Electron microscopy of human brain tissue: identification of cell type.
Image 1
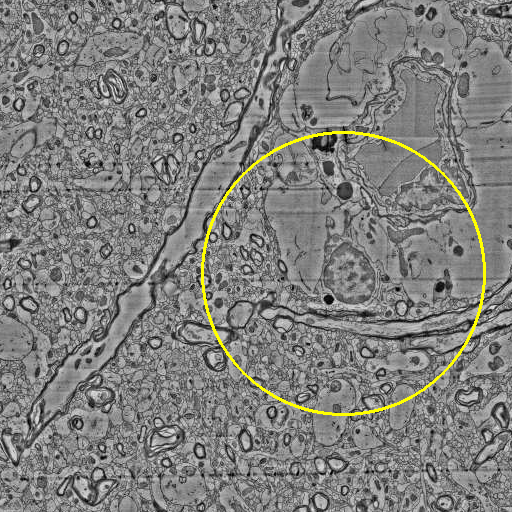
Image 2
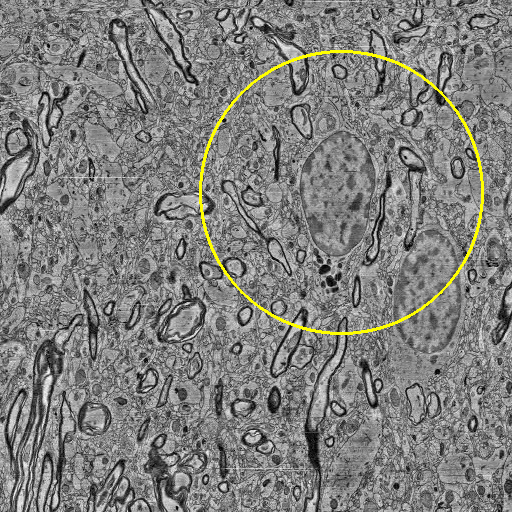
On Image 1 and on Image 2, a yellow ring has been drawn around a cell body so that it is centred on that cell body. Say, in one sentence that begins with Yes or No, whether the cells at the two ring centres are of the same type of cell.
Yes, both cells are the same type of cell.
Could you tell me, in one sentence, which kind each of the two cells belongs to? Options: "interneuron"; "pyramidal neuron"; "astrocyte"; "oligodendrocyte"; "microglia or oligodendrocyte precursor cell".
Each cell, in the first picture and the second, is a microglial cell or oligodendrocyte precursor cell.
